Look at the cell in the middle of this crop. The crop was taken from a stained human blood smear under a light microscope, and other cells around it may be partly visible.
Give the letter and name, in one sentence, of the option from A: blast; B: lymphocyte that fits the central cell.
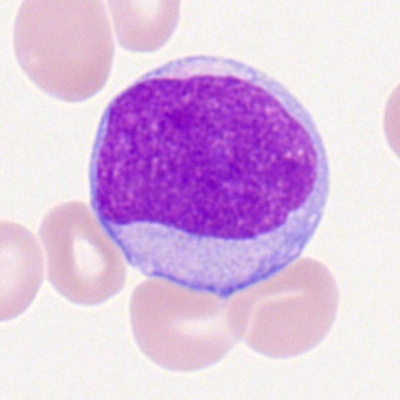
This one is option A, since the cell at the center is a blast.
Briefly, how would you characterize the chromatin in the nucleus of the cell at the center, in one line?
The key point is fine chromatin with no coarse clumps.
